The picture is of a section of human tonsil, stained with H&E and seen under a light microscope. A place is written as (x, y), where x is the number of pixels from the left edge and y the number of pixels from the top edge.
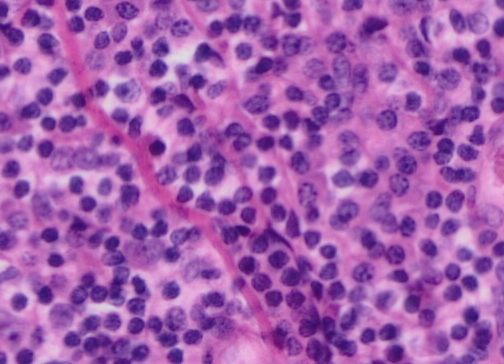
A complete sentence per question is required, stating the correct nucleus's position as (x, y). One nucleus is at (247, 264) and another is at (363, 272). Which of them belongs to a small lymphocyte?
The nucleus at (247, 264) is part of a small lymphocyte, while the other is not.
